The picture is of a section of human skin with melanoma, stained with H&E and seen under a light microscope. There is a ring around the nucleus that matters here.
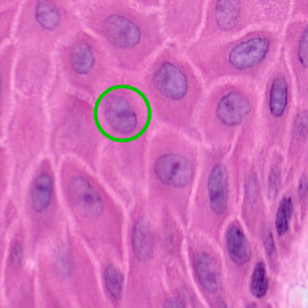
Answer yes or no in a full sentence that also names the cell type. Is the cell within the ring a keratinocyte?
Yes, the cell within the ring is assigned the identity of a keratinocyte.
